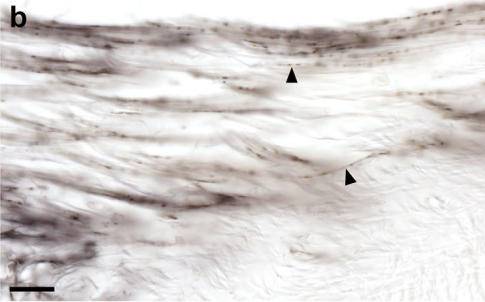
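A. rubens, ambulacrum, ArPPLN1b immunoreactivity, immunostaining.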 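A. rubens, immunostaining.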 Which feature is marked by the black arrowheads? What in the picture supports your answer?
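The arrowheads point to thin dark-brown threads running lengthwise. The threads run parallel to the pale longitudinal muscle fascicles.
Conclusion: nerve fibers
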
